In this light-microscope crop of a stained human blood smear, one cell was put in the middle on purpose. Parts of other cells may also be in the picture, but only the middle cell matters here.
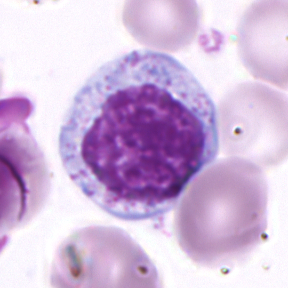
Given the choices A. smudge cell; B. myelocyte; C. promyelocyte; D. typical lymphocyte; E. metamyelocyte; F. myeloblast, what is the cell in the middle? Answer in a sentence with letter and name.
Option B is correct in that the central cell is a myelocyte.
